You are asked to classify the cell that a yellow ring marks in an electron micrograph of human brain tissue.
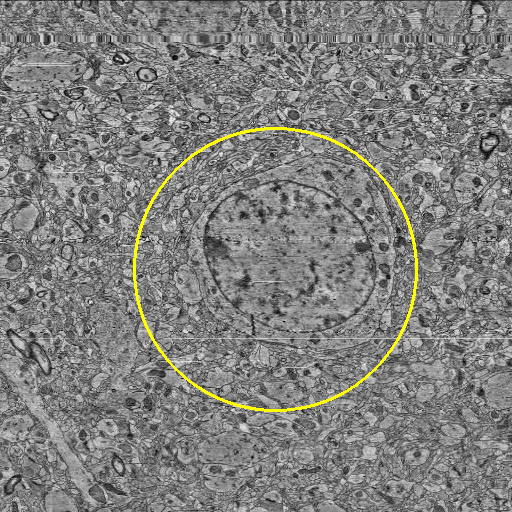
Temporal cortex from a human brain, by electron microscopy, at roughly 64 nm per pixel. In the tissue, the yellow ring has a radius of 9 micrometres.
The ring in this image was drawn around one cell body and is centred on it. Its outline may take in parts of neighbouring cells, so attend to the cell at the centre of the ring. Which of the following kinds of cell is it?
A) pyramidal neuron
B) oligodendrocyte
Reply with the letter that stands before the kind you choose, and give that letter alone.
A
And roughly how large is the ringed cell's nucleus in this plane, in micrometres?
Approximately 11 micrometres long and 10 micrometres wide, in this plane.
